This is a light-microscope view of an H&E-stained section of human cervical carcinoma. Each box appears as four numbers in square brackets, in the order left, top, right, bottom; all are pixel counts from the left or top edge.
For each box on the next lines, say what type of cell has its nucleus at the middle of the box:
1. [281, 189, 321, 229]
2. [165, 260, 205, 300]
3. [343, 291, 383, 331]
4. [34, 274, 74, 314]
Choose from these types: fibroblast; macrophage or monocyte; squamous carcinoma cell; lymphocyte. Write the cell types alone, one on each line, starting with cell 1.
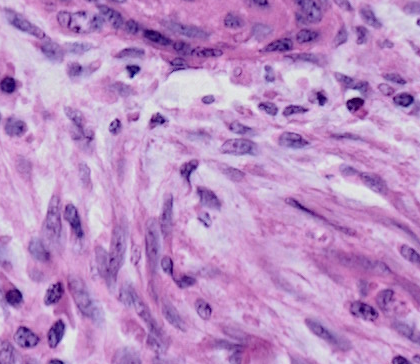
fibroblast
lymphocyte
lymphocyte
lymphocyte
